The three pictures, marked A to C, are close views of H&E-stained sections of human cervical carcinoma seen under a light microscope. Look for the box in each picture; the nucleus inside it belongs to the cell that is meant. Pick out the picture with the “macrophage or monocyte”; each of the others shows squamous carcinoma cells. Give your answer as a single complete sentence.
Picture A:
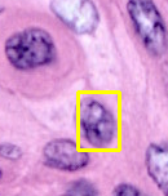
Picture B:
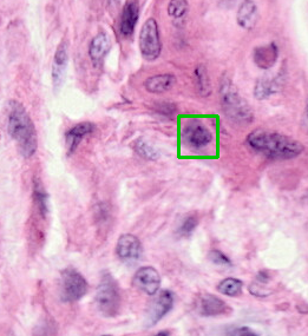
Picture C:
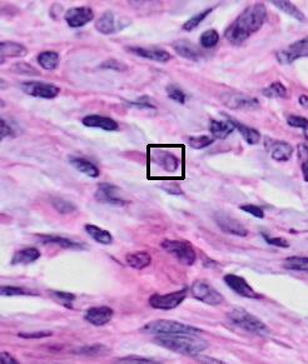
Picture C is the one that shows the “macrophage or monocyte”.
